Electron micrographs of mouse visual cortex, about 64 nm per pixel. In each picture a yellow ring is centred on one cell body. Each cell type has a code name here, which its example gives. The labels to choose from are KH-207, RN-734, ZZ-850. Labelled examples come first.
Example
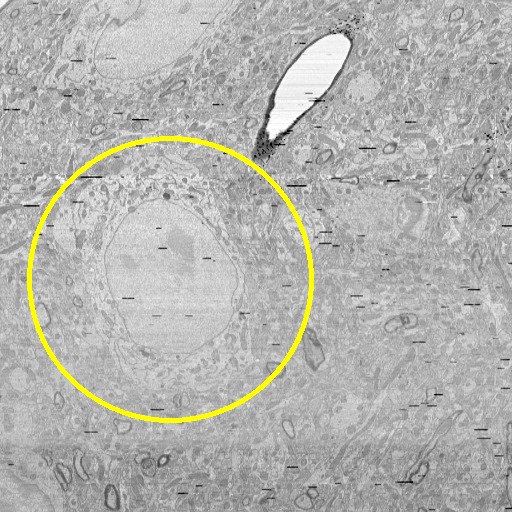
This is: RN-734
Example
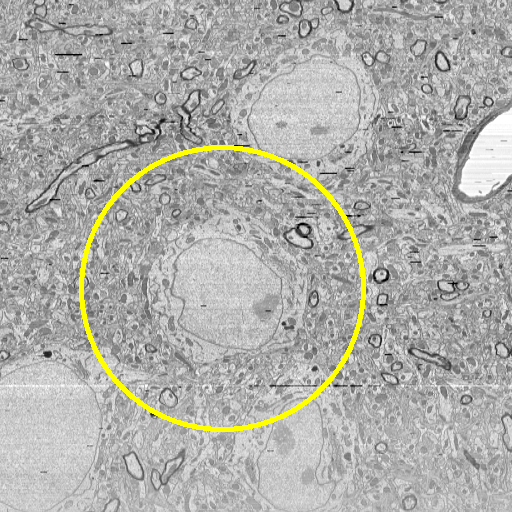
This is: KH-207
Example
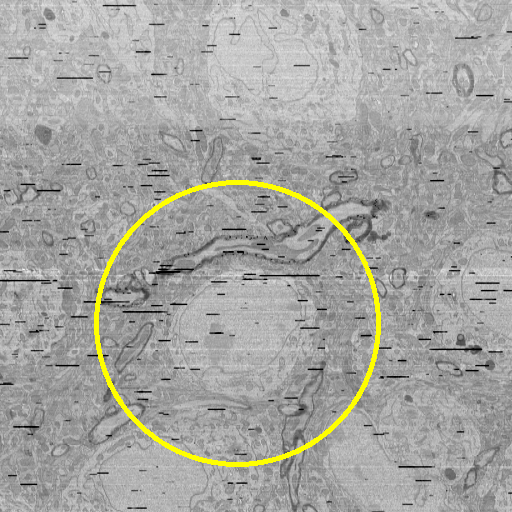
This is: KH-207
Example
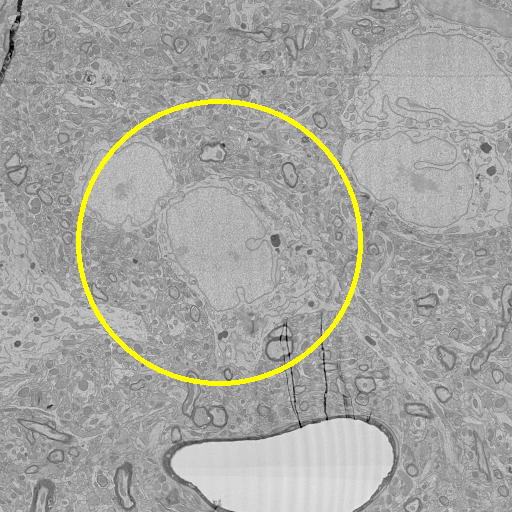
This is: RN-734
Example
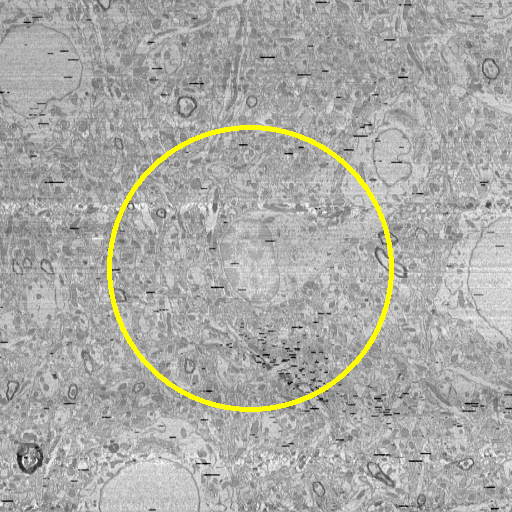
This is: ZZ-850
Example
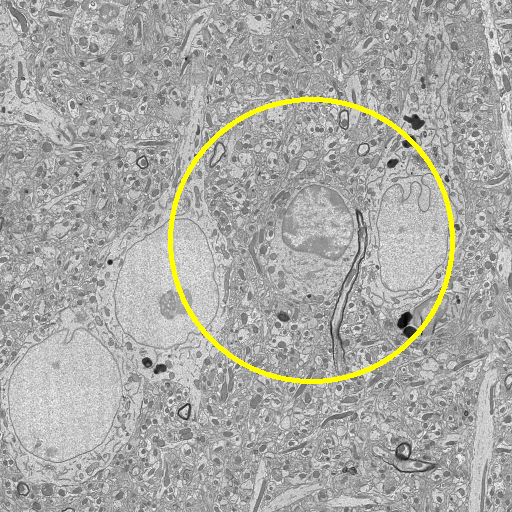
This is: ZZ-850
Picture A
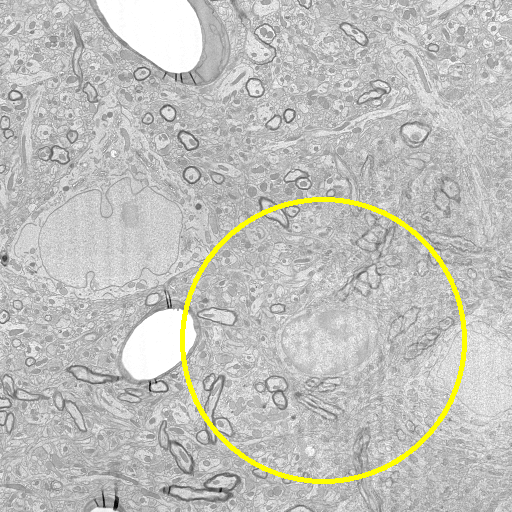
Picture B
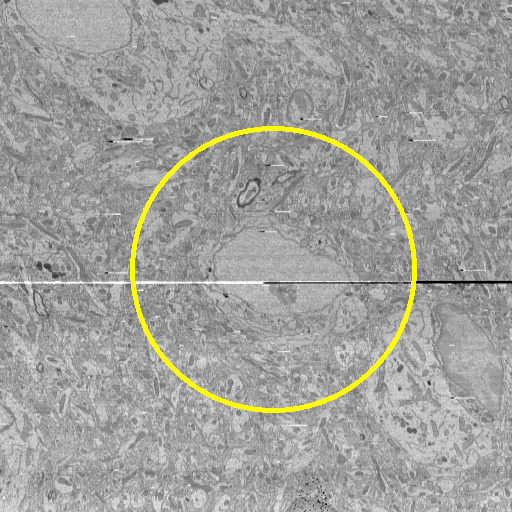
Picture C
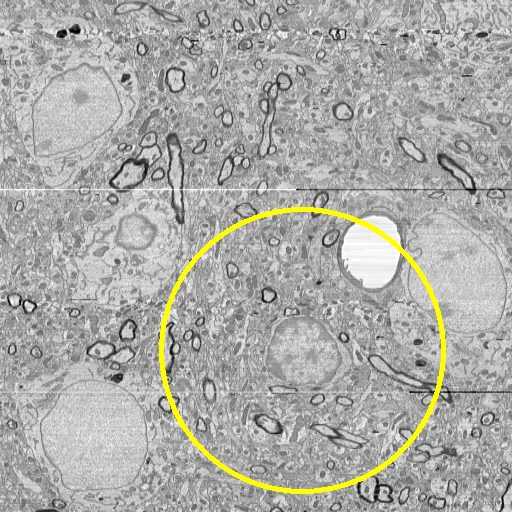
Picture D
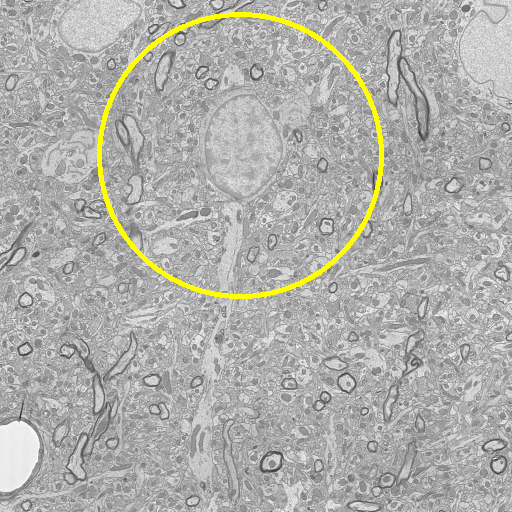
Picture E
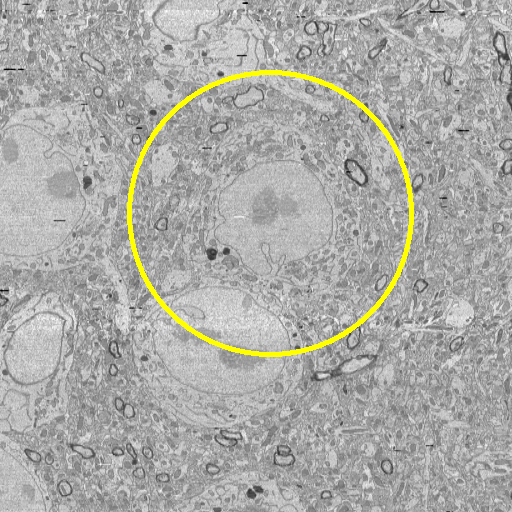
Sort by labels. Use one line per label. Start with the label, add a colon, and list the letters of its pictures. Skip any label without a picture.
RN-734: B, E
ZZ-850: A, C, D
